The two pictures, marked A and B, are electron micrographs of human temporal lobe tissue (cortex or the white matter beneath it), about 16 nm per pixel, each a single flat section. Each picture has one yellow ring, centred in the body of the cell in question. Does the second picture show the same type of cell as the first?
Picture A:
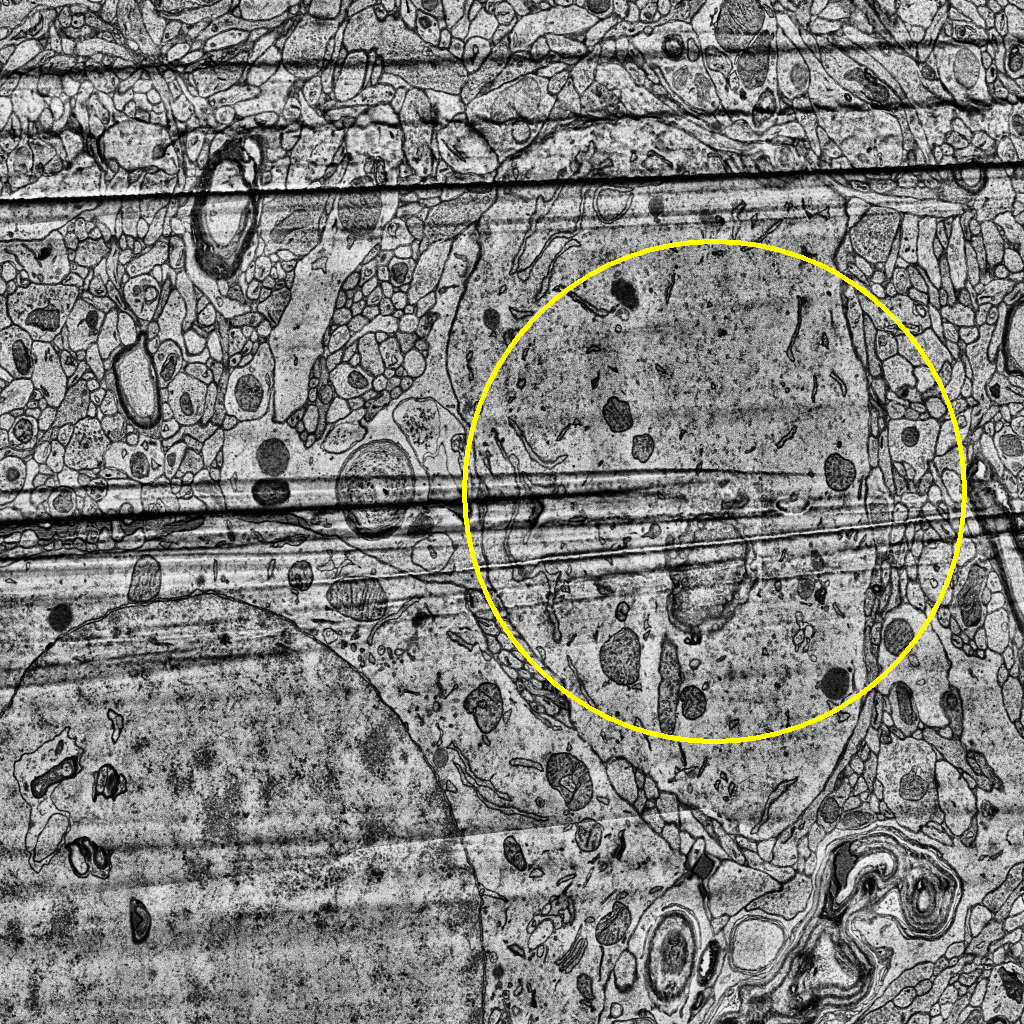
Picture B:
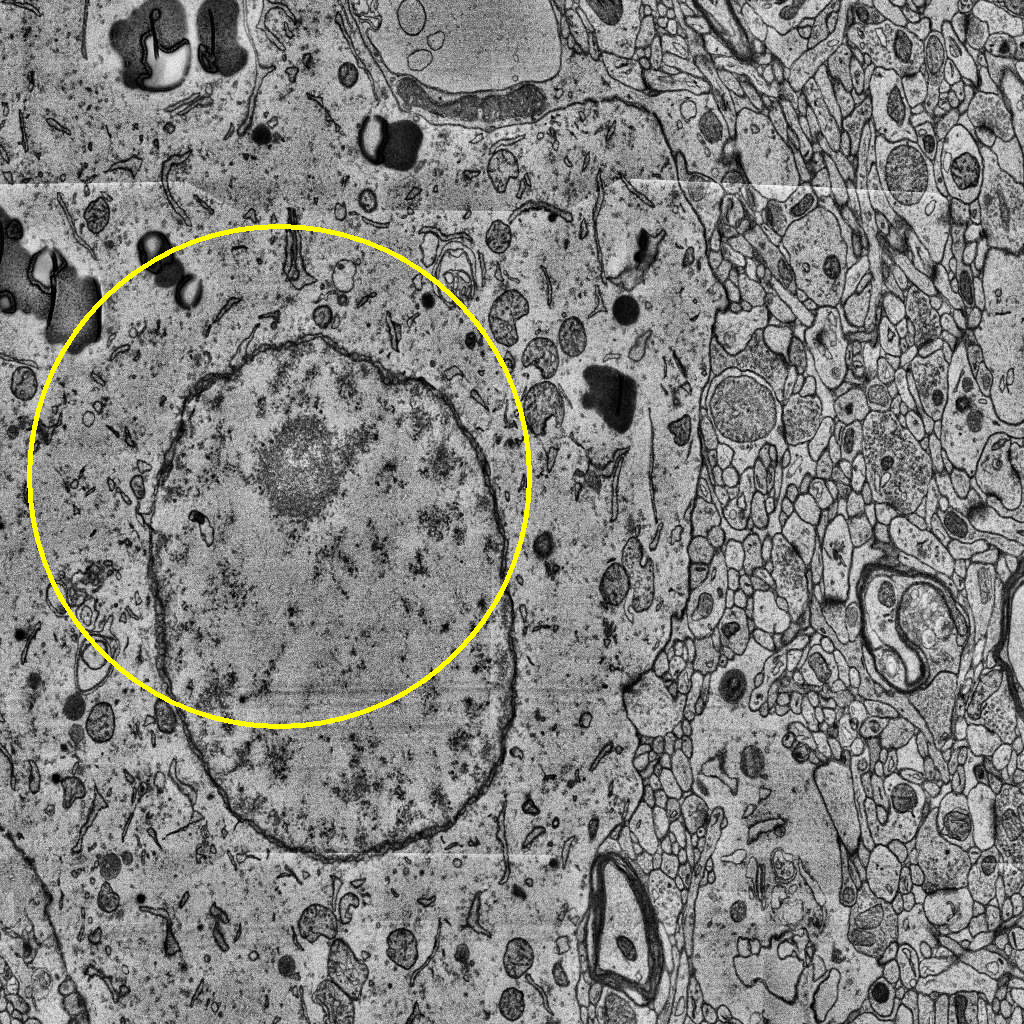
Yes, they are the same type: both are pyramidal neurons.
